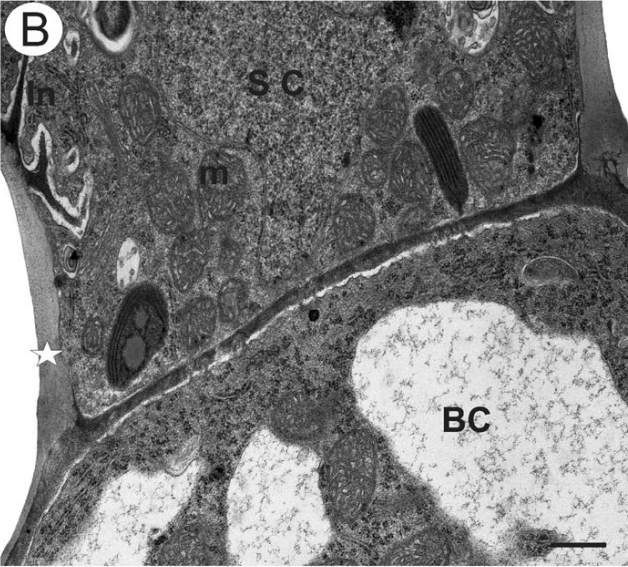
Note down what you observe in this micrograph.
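A stalk cell with dense cytoplasm packed with mitochondria and plastids with stacked membranes lies above a basal cell containing large pale vacuoles with fine flocculent content. The two cells are separated by a thin transverse wall, while the anticlinal wall on the left is markedly thickened and bears folded wall ingrowths near the top.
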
